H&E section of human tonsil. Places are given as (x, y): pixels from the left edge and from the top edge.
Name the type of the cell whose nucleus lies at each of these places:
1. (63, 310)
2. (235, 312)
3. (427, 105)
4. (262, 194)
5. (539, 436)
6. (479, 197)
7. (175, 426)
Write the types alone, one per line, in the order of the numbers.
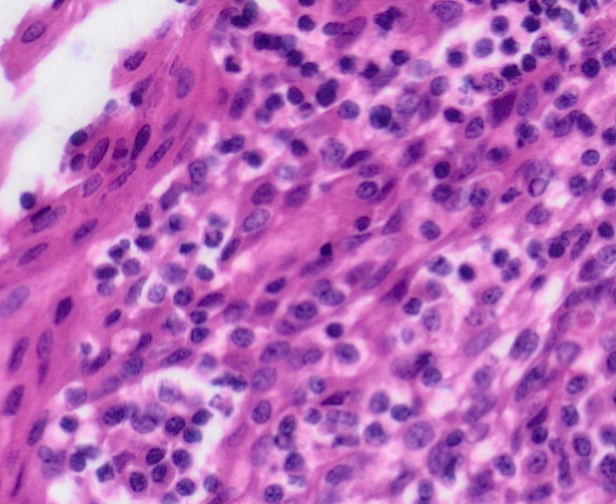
squamous epithelial cell
squamous epithelial cell
squamous epithelial cell
squamous epithelial cell
plasma cell
plasma cell
plasma cell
